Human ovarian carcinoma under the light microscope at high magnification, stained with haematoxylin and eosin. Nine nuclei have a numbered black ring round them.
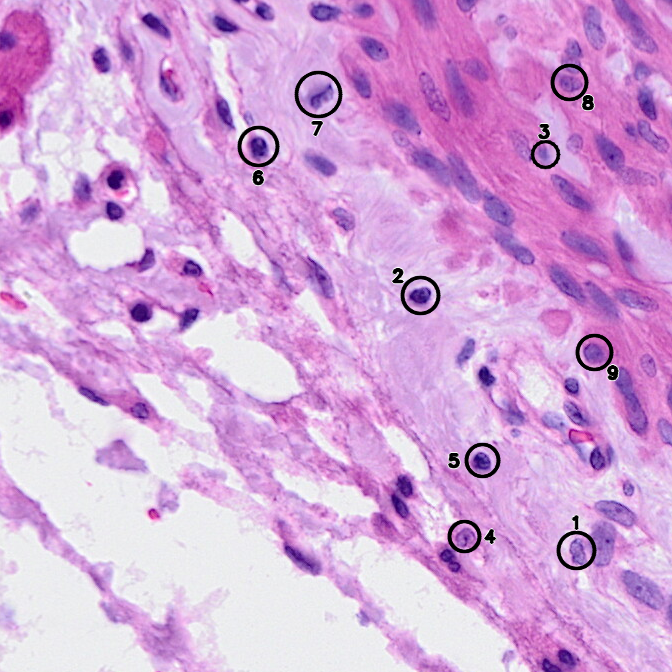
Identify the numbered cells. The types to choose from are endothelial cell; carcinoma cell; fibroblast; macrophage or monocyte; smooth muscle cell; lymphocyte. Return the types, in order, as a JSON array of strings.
["macrophage or monocyte", "lymphocyte", "smooth muscle cell", "macrophage or monocyte", "lymphocyte", "lymphocyte", "fibroblast", "smooth muscle cell", "smooth muscle cell"]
